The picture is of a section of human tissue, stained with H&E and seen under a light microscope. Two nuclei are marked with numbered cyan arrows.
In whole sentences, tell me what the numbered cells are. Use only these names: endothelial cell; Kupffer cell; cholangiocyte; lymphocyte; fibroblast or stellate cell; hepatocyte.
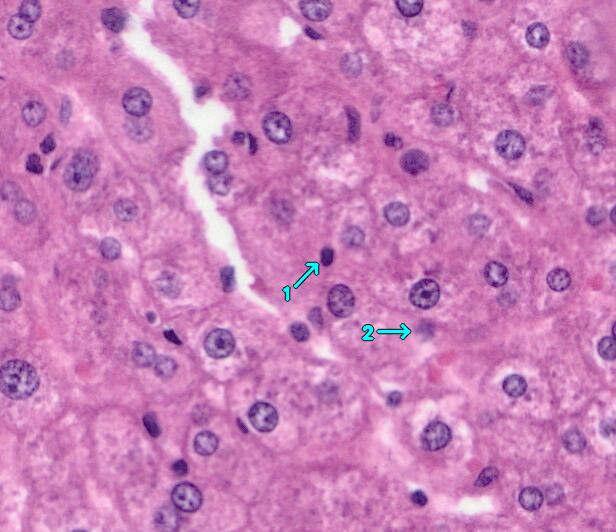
Cell 1 is a lymphocyte. Cell 2 is an endothelial cell.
